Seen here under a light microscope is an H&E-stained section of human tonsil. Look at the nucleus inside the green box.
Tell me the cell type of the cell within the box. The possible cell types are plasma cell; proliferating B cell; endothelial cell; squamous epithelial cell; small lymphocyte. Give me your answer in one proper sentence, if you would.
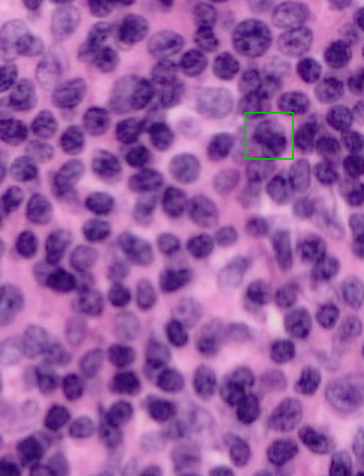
On this particular slide, the cell within the box is a small lymphocyte.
